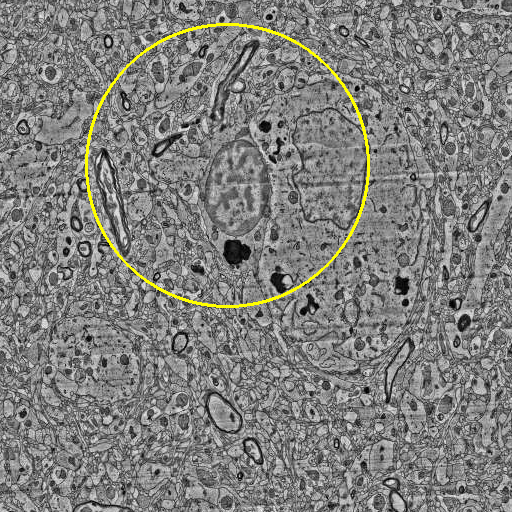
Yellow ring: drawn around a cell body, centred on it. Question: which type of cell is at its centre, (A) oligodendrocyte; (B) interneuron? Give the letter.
A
